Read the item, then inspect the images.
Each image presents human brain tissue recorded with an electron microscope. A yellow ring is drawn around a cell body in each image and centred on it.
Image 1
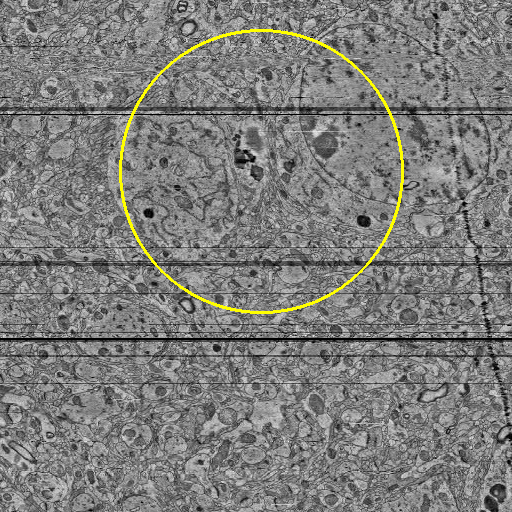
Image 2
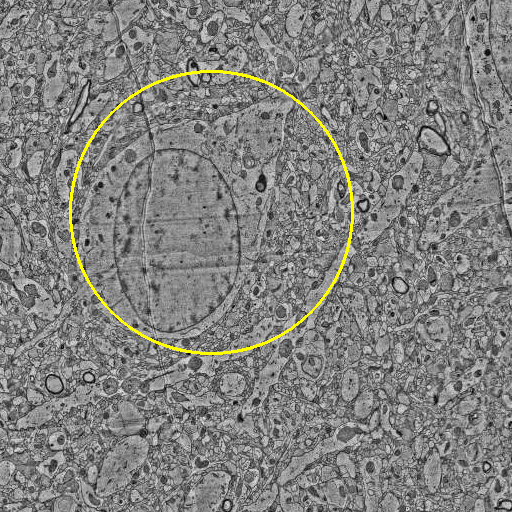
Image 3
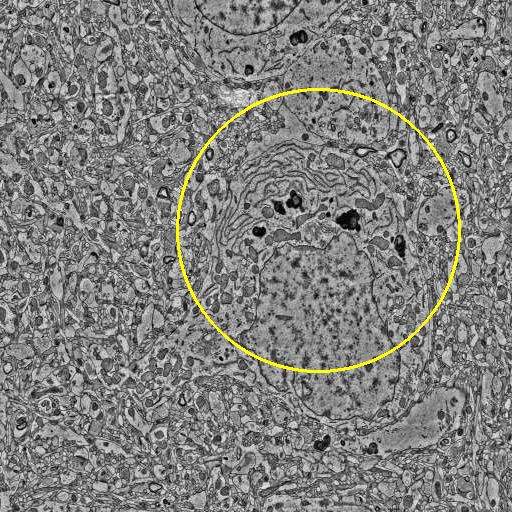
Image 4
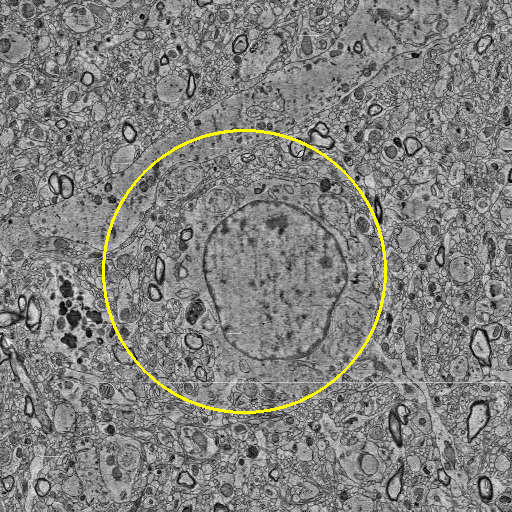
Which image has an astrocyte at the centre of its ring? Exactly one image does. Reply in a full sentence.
The ring in Image 4 is centred on it.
